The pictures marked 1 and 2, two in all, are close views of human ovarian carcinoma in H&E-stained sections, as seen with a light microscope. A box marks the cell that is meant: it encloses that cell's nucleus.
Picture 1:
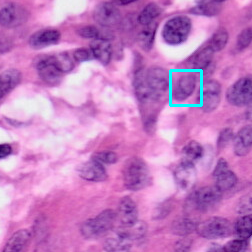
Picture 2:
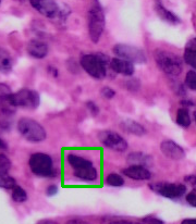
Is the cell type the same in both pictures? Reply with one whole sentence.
Yes; the cells in both pictures are carcinoma cells.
